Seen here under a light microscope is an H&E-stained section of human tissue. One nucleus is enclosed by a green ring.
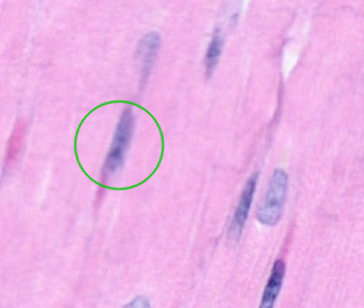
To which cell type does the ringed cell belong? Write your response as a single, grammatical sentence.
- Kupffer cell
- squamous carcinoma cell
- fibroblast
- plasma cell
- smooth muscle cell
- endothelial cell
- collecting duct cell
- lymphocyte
Within the stained tissue, the ringed cell is an endothelial cell.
